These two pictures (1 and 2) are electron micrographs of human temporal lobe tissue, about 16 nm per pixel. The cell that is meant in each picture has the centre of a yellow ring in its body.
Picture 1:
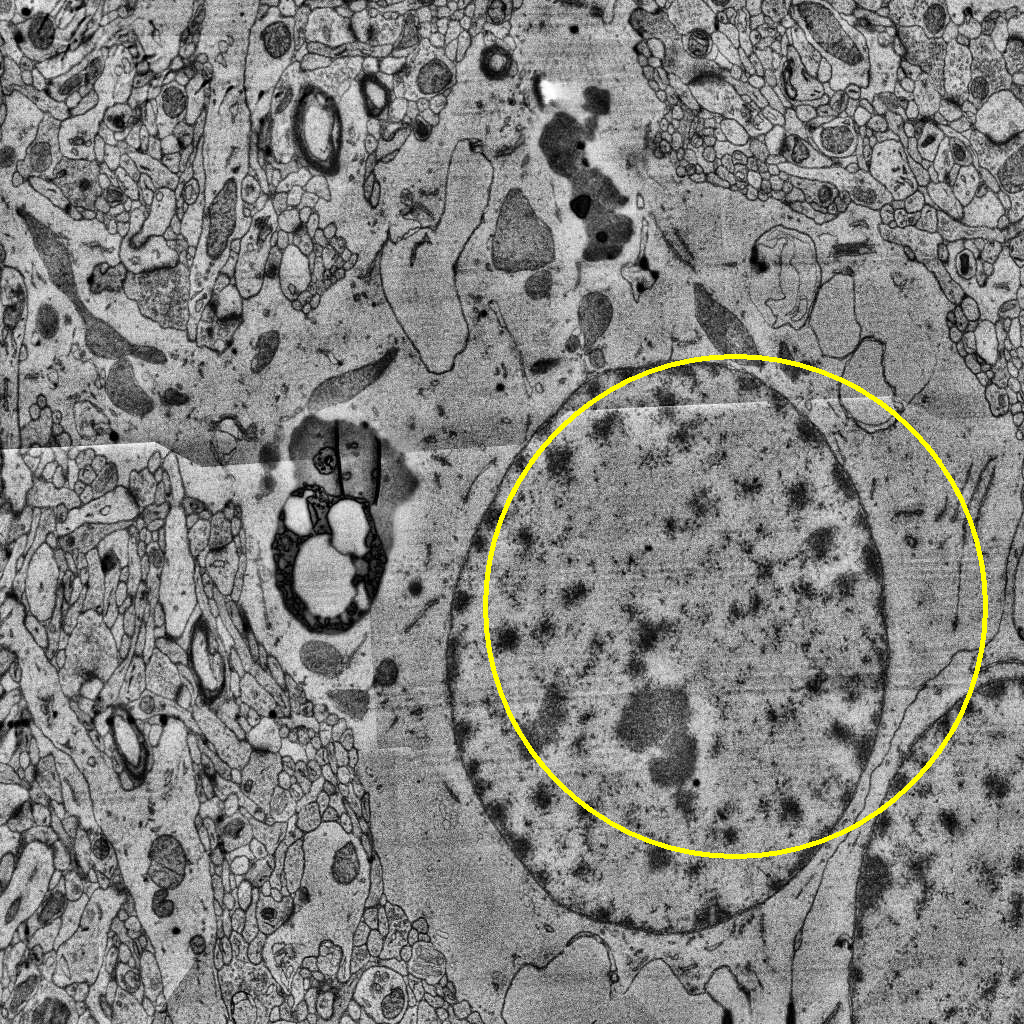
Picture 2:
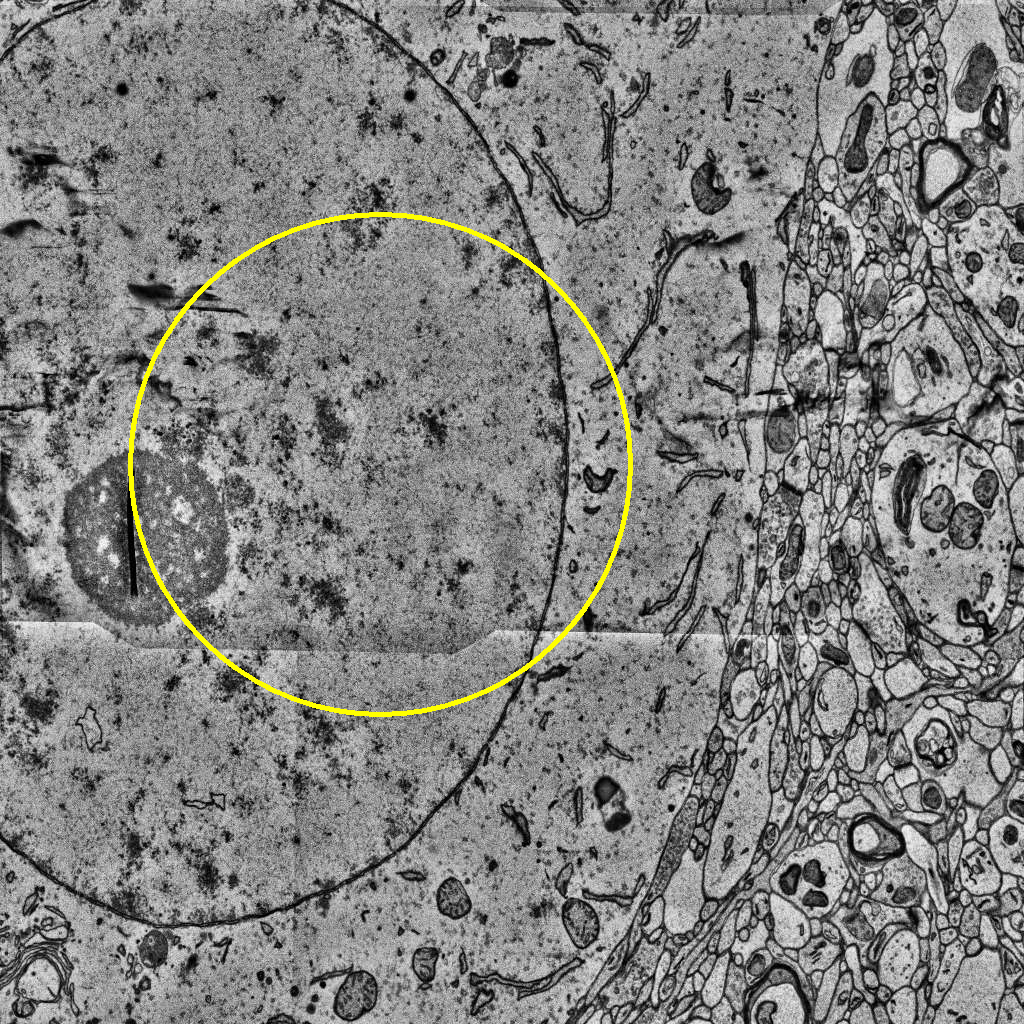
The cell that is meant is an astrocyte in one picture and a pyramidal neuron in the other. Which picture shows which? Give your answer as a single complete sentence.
In picture 1 the cell is an astrocyte; in picture 2, a pyramidal neuron.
